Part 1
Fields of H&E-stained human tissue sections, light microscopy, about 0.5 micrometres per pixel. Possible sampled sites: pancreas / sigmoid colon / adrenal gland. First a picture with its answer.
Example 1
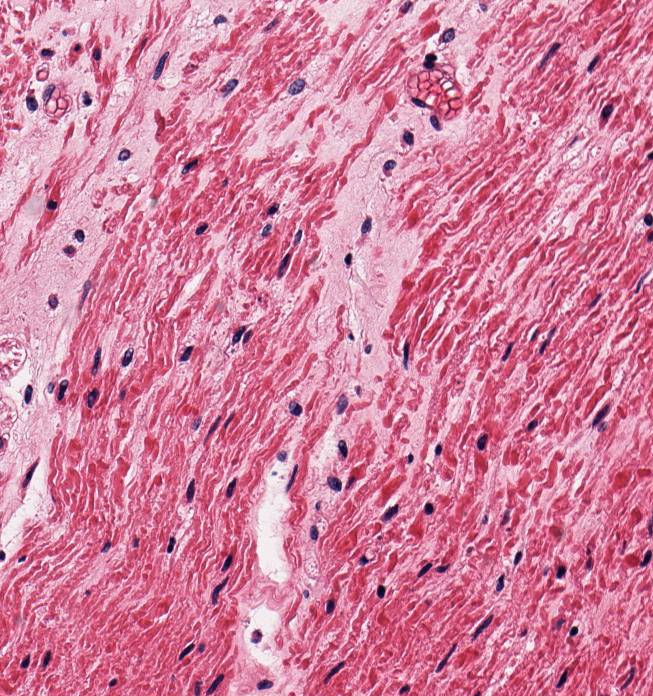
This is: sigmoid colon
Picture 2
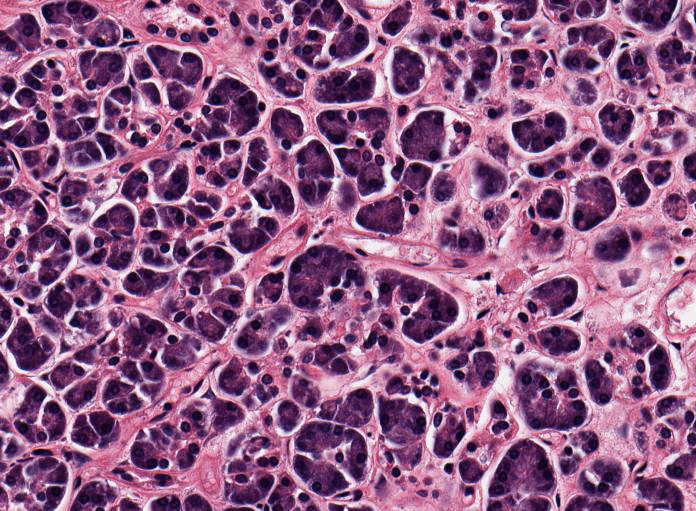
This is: pancreas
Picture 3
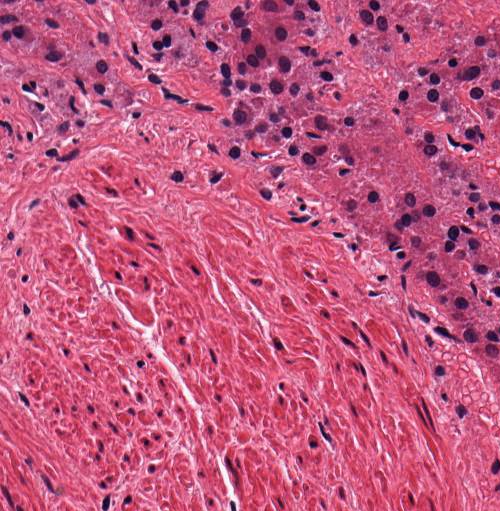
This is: adrenal gland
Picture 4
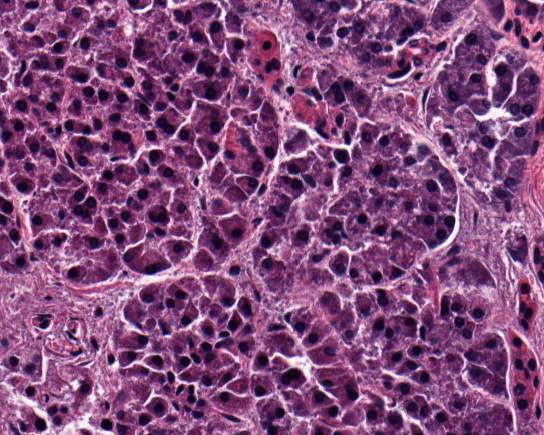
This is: pancreas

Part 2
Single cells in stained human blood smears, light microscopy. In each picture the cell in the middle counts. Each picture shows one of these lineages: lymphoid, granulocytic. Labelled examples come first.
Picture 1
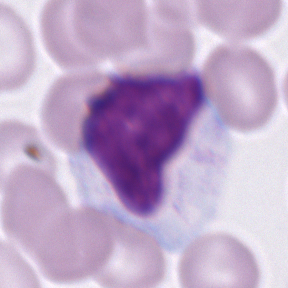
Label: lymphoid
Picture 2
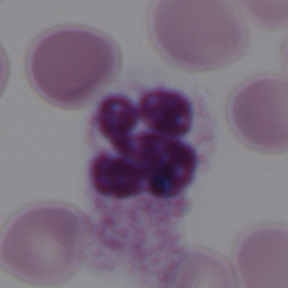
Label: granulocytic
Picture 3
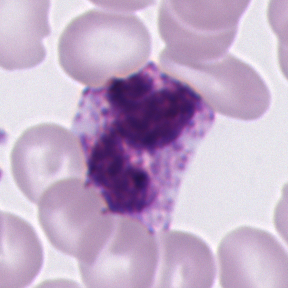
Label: granulocytic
